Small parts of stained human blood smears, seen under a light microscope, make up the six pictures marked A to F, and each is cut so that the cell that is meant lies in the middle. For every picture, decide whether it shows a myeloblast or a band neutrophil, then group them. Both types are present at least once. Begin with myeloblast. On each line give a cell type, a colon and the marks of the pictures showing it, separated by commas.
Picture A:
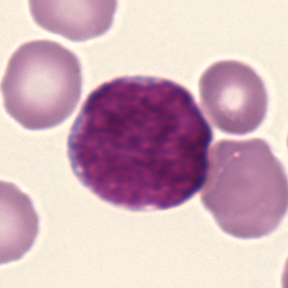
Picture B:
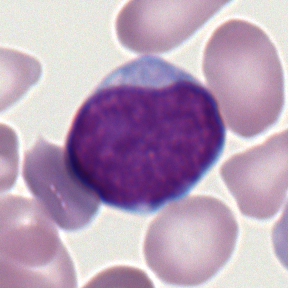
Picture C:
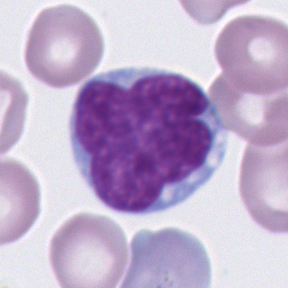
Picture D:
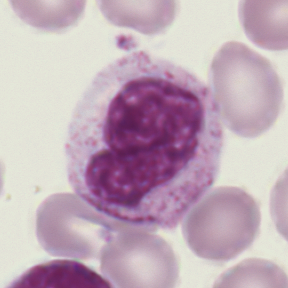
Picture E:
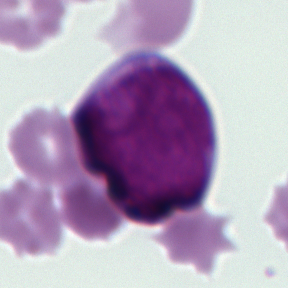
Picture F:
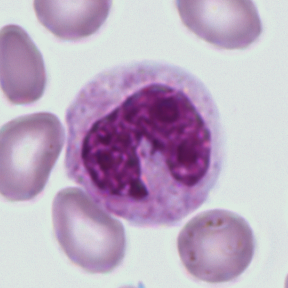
myeloblast: A, B, C, E
band neutrophil: D, F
